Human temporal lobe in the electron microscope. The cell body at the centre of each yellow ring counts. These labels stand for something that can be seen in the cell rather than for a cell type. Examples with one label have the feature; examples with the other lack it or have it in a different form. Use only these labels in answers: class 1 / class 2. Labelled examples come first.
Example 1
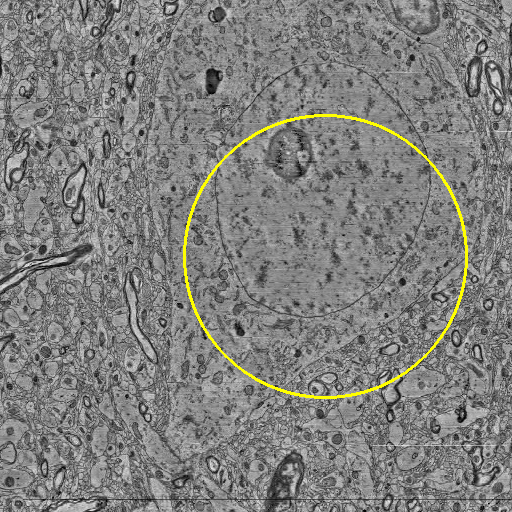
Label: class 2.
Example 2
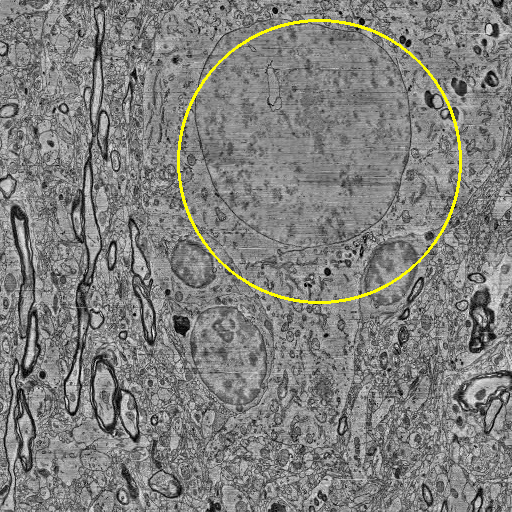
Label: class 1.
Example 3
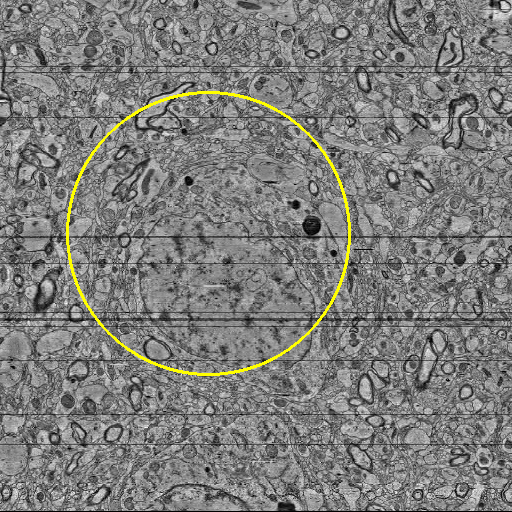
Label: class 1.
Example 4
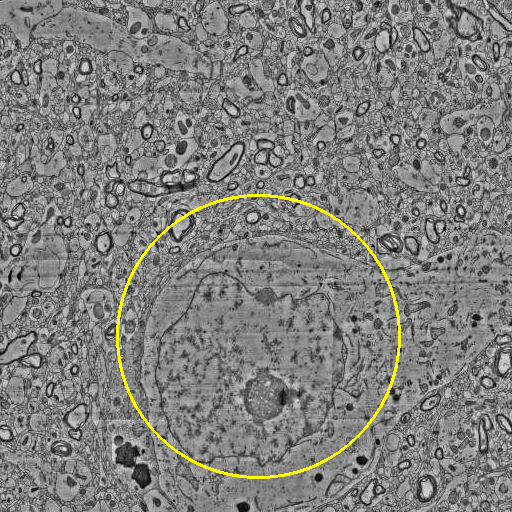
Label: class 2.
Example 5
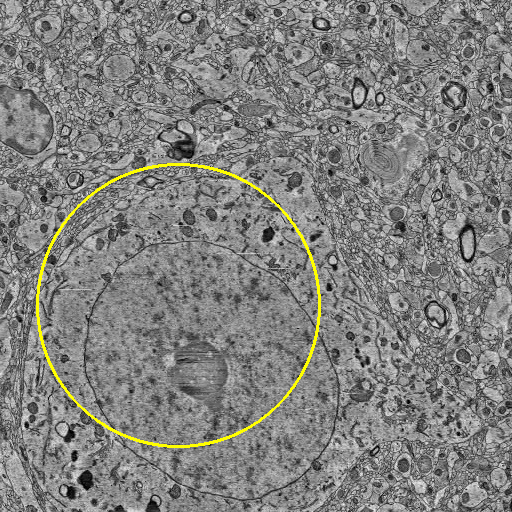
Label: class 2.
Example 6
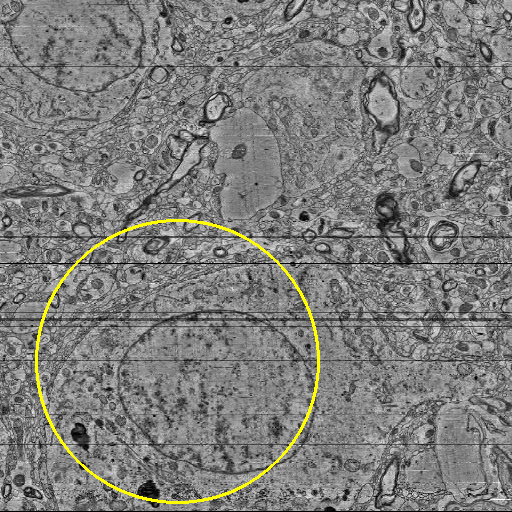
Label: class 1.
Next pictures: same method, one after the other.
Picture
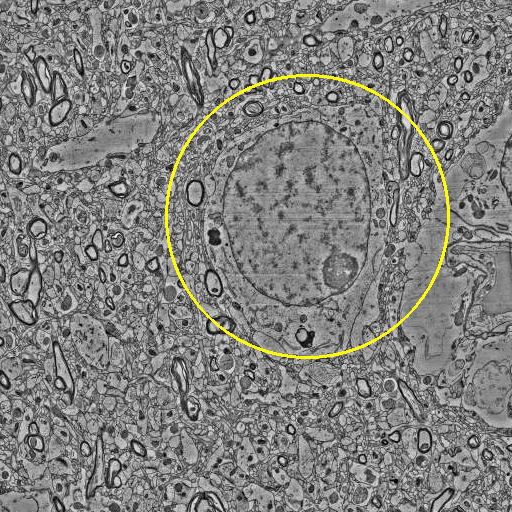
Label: class 2.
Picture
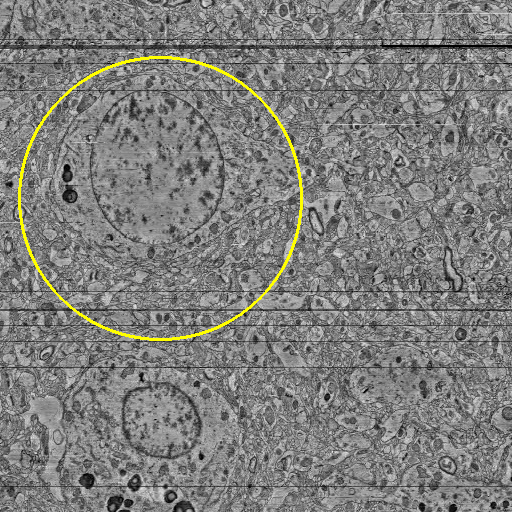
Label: class 1.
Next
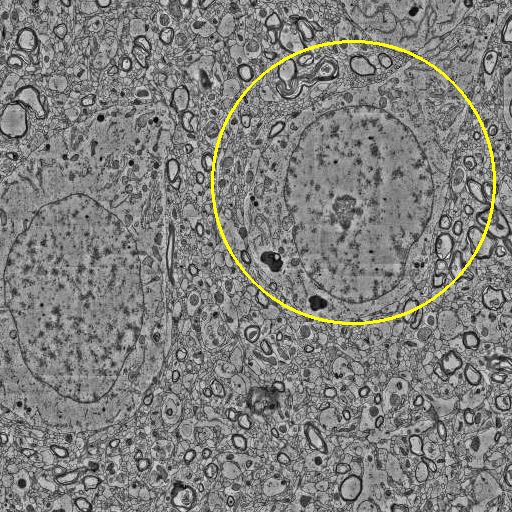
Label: class 2.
